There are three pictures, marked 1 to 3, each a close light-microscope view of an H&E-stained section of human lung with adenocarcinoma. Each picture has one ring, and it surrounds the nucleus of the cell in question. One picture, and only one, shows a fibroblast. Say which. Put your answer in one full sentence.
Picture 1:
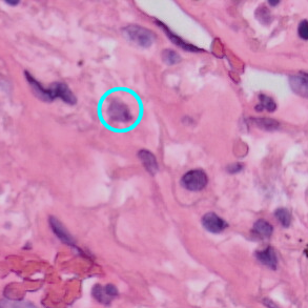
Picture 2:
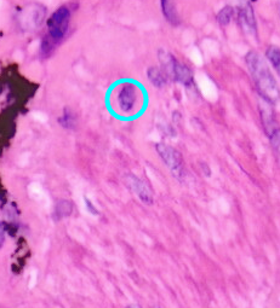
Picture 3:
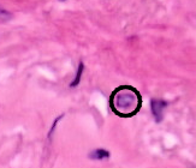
Picture 1 is the one that shows the fibroblast.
